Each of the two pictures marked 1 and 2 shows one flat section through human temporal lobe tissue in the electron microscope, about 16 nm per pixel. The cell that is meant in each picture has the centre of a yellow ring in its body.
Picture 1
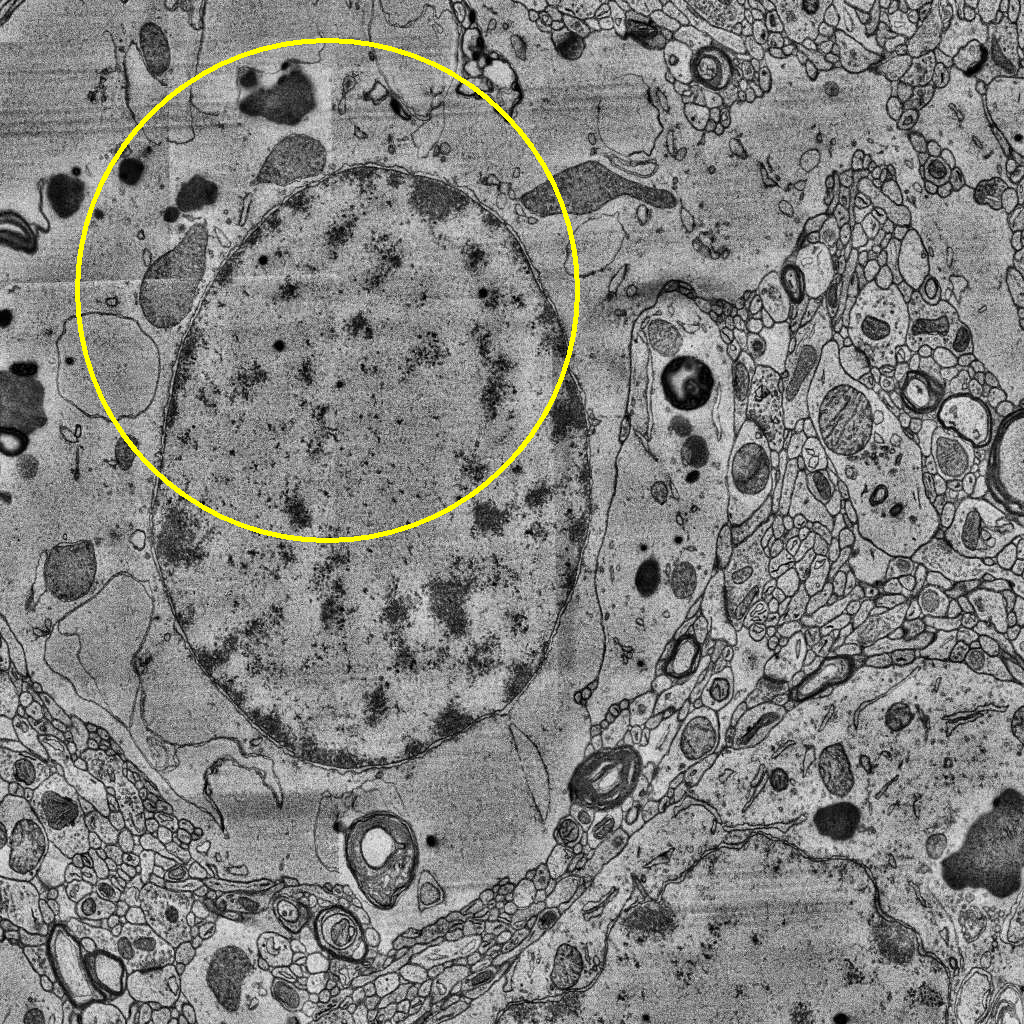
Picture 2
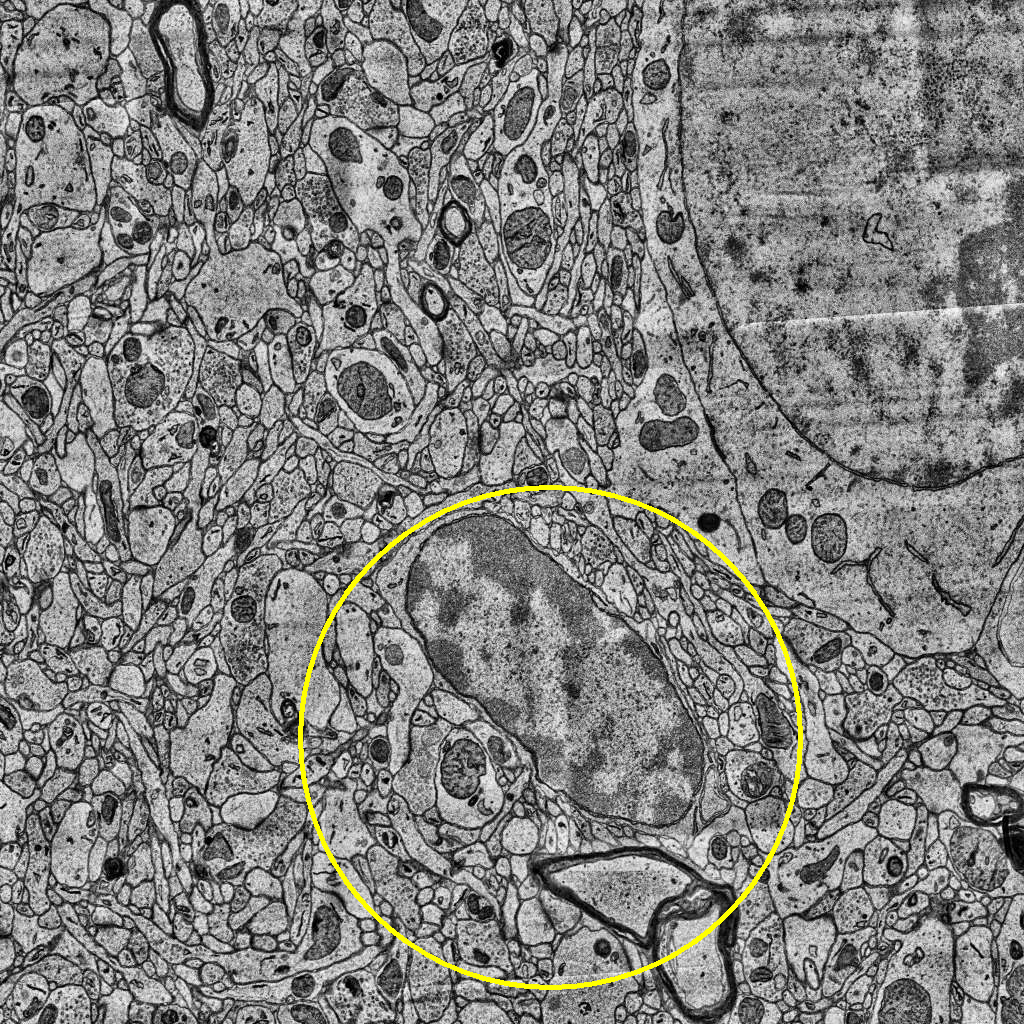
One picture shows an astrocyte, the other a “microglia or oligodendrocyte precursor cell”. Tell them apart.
It is picture 1 that shows an astrocyte, and picture 2 that shows a “microglia or oligodendrocyte precursor cell”.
